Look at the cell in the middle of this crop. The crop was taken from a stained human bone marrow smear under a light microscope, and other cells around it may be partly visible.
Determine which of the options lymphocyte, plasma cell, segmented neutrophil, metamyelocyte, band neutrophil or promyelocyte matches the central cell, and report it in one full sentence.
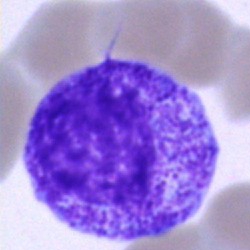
As for the central cell, it is a promyelocyte.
